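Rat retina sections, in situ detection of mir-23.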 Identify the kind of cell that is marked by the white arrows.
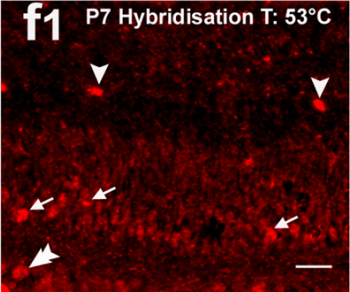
amacrine cells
